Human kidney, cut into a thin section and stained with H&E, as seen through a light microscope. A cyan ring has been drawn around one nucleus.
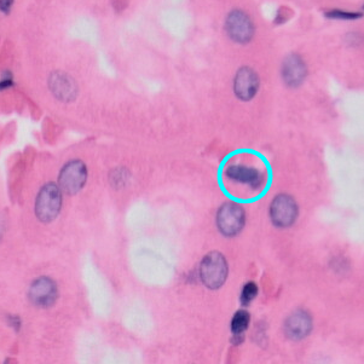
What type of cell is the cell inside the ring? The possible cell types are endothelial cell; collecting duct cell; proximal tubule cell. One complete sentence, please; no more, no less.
For the purposes of cell typing, the cell inside the ring is categorized as an endothelial cell.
